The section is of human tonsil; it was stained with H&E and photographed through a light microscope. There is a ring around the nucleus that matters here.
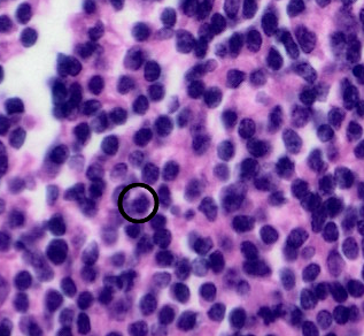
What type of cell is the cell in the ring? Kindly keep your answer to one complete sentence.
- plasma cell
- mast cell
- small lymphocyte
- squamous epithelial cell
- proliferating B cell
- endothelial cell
The cell type represented by the cell in the ring is that of a small lymphocyte.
